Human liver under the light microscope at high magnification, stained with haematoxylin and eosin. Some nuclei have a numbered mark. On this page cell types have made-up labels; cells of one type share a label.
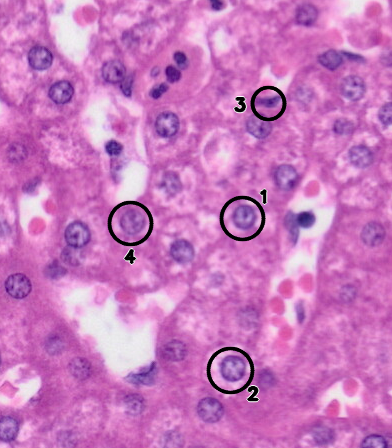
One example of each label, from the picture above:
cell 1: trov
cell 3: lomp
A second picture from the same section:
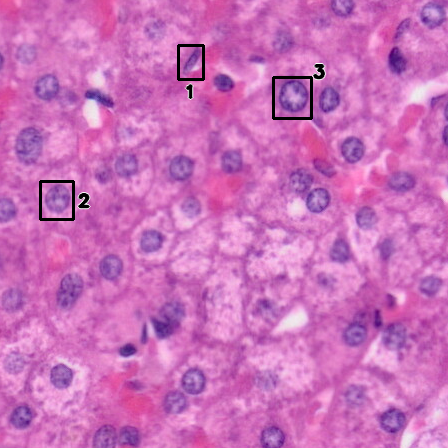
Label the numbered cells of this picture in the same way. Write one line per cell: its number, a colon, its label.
1: lomp
2: trov
3: trov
